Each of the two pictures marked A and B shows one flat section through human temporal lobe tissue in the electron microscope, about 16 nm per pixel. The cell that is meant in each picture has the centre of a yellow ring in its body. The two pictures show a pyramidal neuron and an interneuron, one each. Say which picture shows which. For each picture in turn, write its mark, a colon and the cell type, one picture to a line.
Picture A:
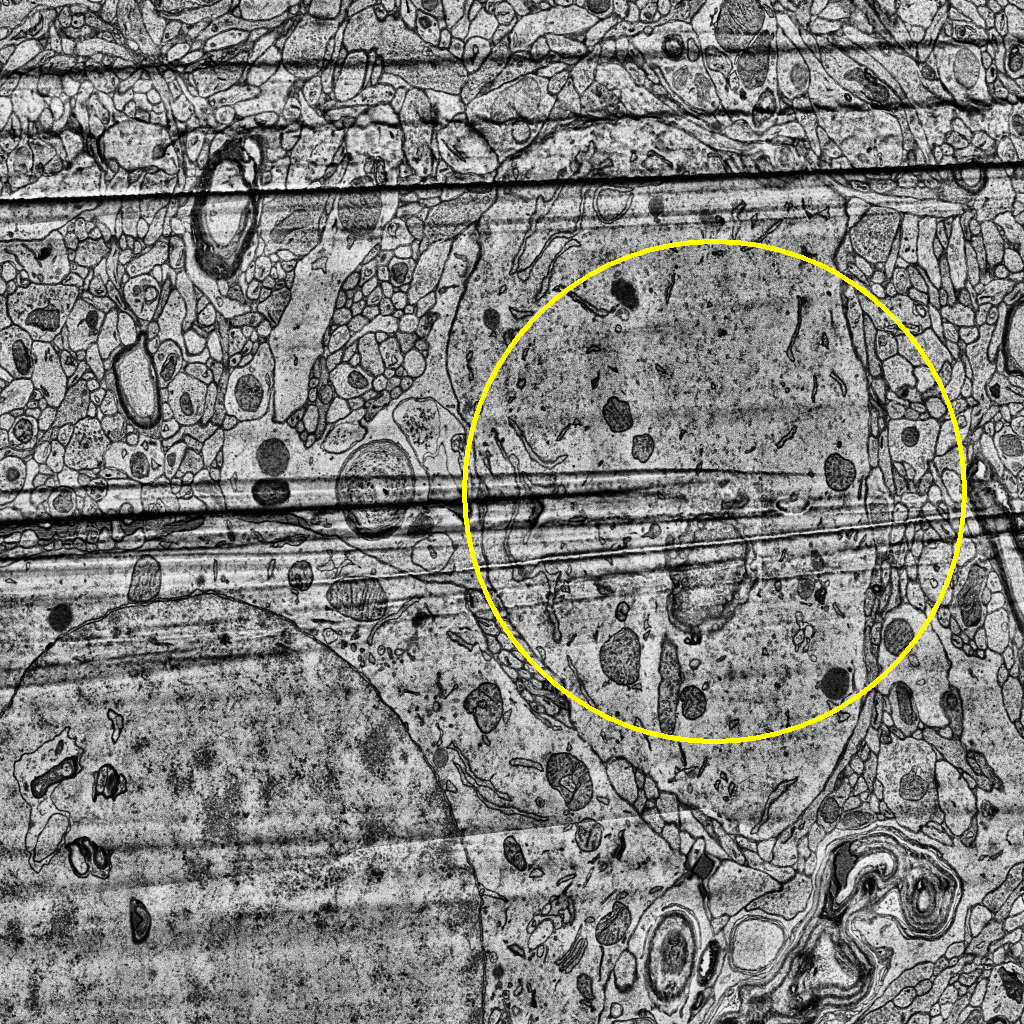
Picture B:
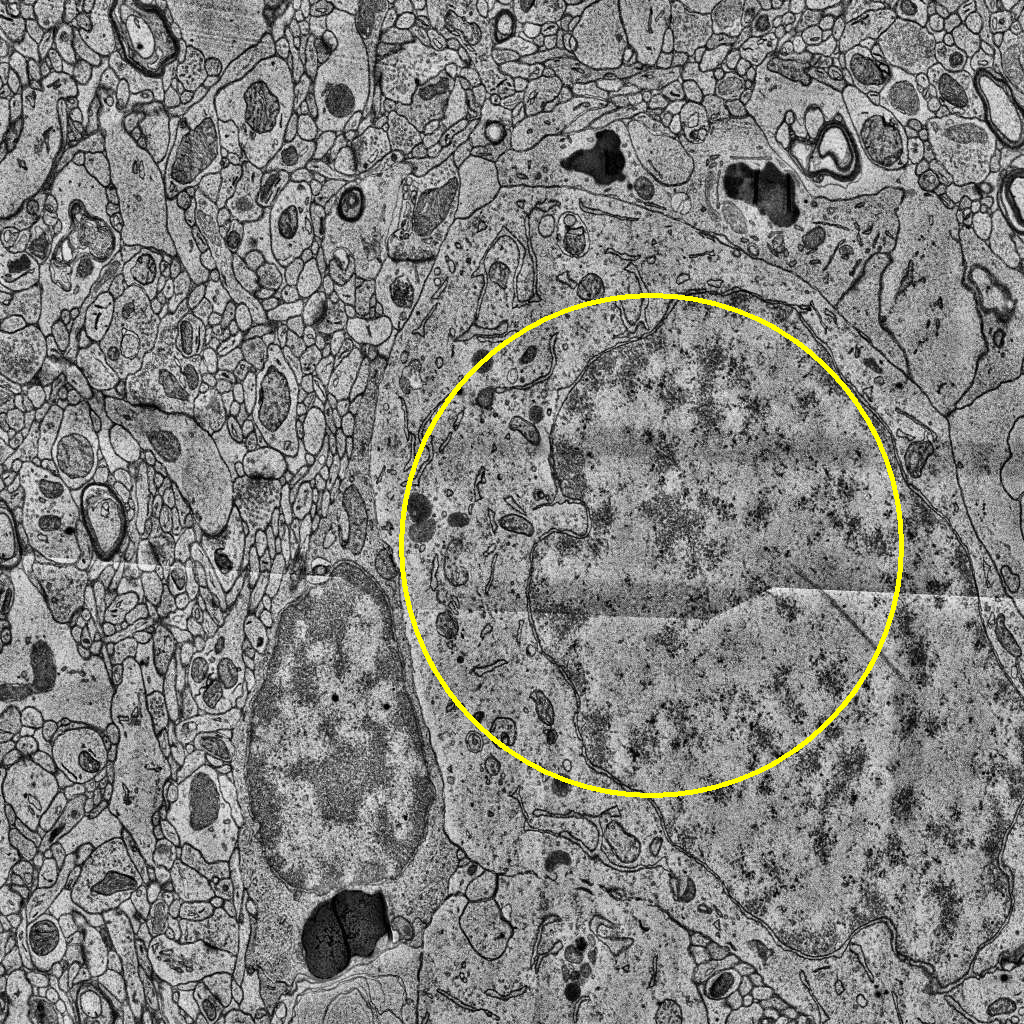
A: pyramidal neuron
B: interneuron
